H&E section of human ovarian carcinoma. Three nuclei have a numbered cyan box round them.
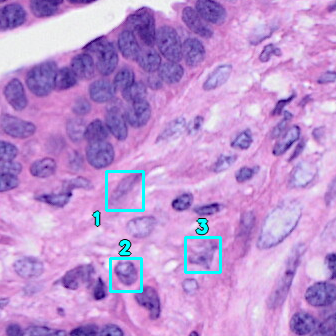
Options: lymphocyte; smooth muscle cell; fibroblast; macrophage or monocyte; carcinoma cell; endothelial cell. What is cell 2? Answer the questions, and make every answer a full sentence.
The one labeled 2 is a macrophage or monocyte, to put it simply.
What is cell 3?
The nucleus marked 3 is the nucleus of a fibroblast.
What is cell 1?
In this section, the cell tagged 1 is a fibroblast.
